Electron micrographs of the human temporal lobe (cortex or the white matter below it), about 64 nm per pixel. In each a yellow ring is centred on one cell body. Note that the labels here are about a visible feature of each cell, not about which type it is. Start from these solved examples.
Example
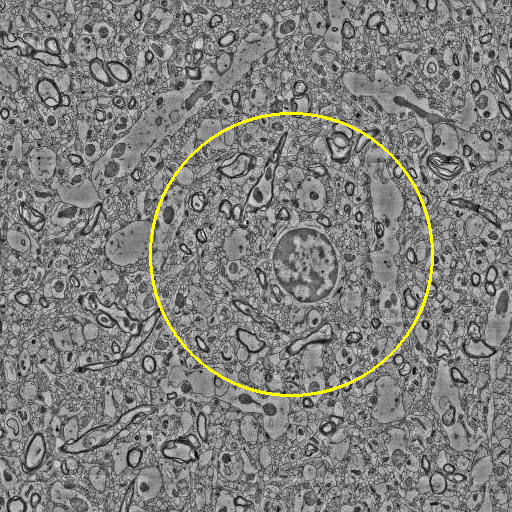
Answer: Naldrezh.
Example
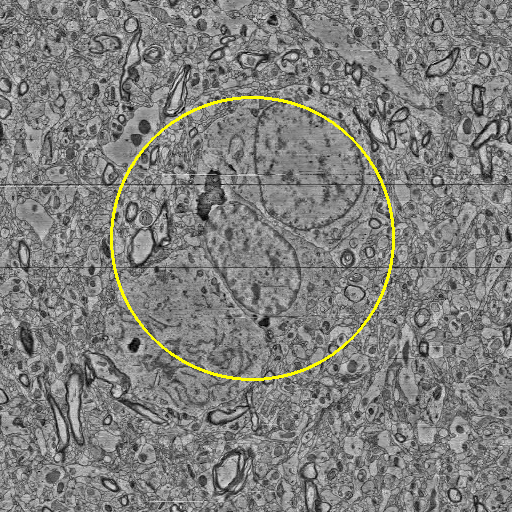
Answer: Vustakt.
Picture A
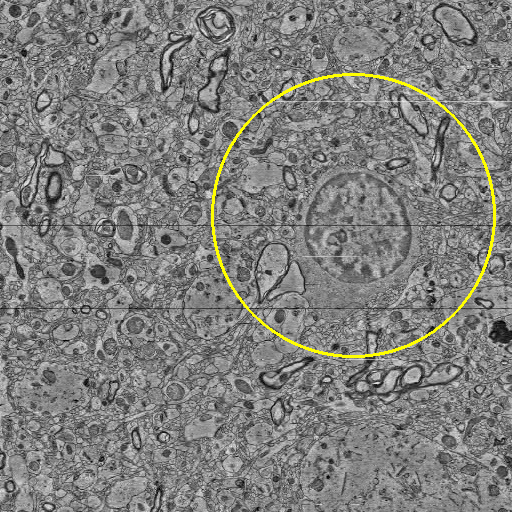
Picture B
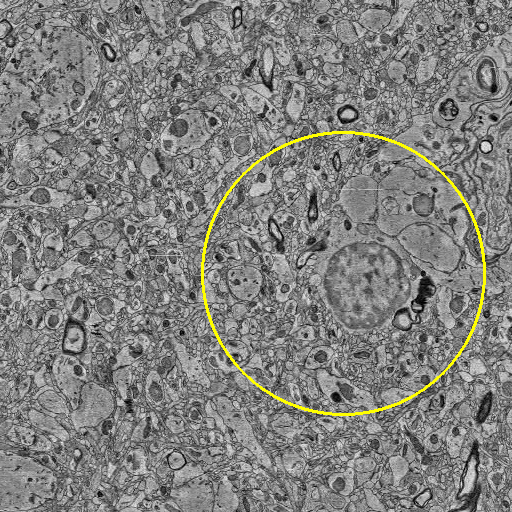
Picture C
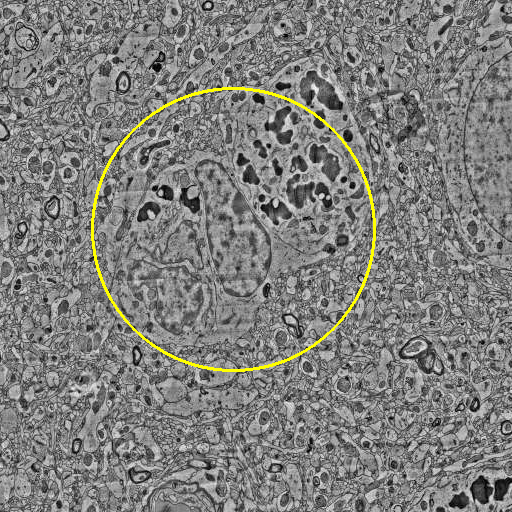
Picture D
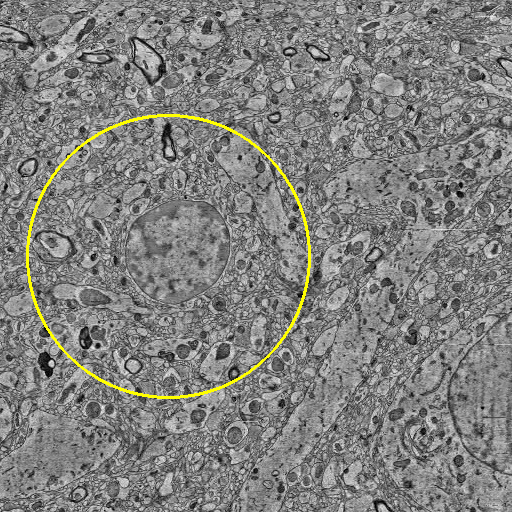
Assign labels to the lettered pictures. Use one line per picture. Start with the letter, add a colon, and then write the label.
A: Naldrezh.
B: Naldrezh.
C: Vustakt.
D: Naldrezh.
